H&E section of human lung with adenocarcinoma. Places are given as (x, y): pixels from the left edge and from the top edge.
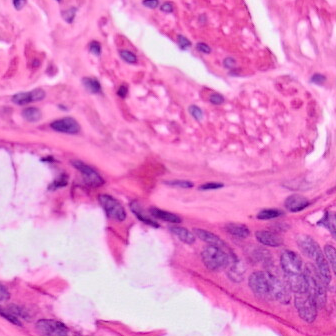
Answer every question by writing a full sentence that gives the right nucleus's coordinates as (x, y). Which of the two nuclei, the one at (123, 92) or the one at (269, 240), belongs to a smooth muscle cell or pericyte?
The nucleus of the pair that lies within a smooth muscle cell or pericyte is at (123, 92).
